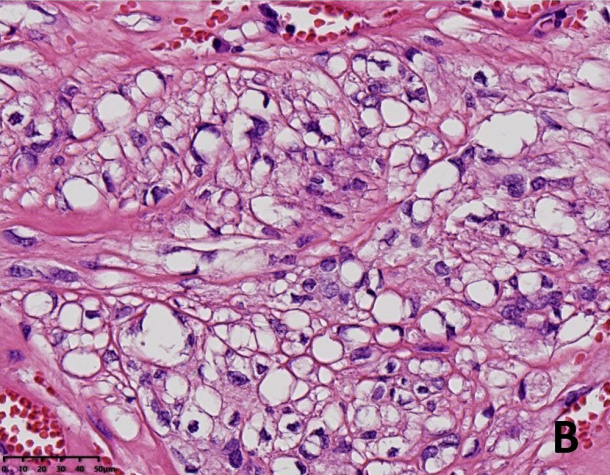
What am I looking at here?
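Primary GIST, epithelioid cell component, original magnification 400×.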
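Large round clear vacuoles of varying size occupy much of each cell, and the purple nuclei are pressed to one side, often flattened into crescents against the vacuole. Some nuclei are larger and darker. The cells form a nest framed by dense pink collagenous stroma, with red blood cells in vessels at the edges of the field.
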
